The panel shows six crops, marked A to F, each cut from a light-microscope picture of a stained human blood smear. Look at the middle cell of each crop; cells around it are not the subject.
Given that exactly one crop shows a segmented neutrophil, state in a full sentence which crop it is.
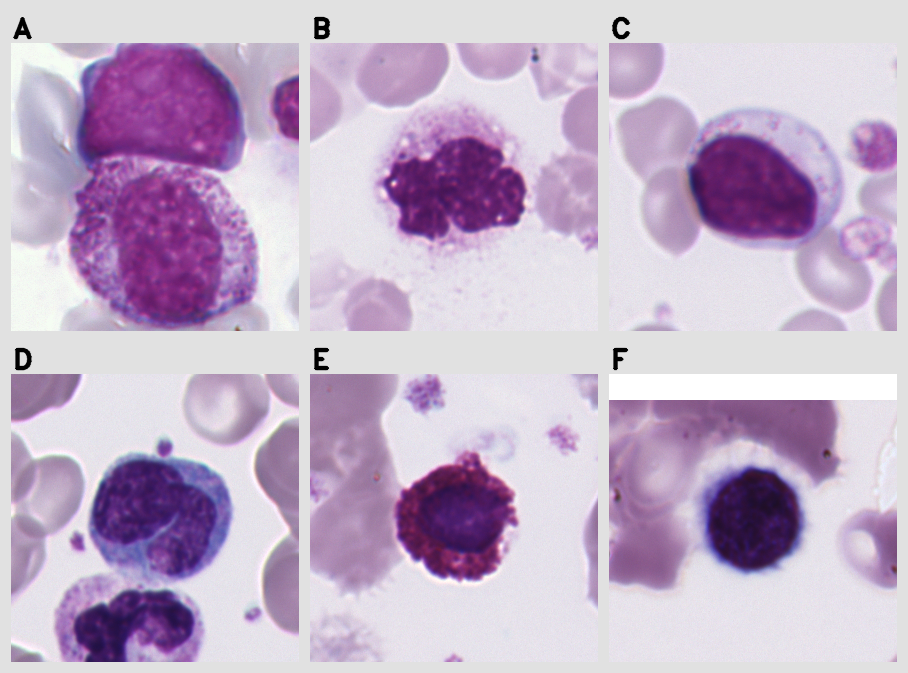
It is in crop B, among all the crops, that a segmented neutrophil is present.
